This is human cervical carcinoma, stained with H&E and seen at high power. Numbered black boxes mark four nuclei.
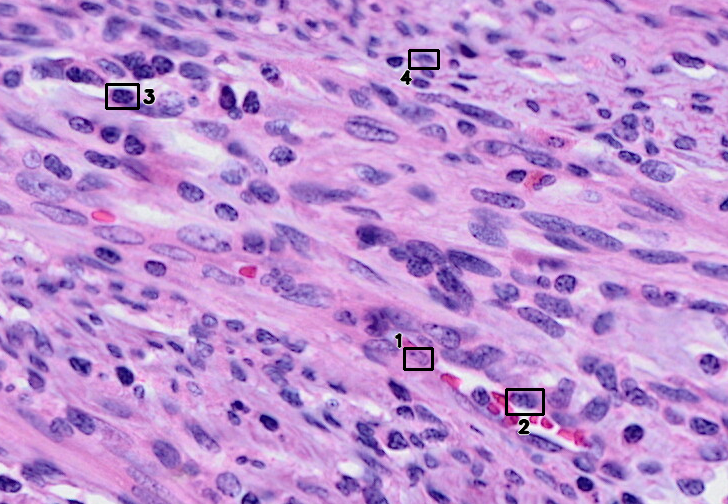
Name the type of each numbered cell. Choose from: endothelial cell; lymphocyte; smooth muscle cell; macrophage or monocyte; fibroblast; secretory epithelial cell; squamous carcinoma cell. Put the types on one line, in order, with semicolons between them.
endothelial cell; endothelial cell; lymphocyte; fibroblast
